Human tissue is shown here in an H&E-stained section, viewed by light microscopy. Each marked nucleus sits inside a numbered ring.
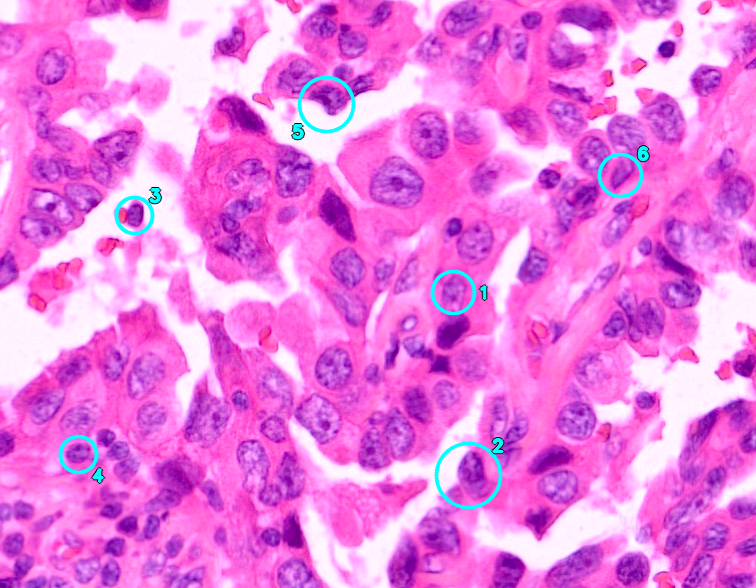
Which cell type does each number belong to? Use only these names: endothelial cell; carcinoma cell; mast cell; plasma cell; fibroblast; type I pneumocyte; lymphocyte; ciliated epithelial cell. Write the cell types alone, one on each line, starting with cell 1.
carcinoma cell
carcinoma cell
lymphocyte
lymphocyte
carcinoma cell
carcinoma cell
